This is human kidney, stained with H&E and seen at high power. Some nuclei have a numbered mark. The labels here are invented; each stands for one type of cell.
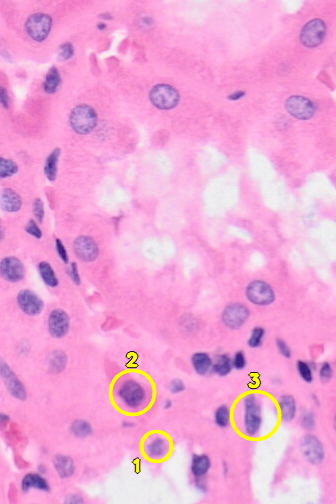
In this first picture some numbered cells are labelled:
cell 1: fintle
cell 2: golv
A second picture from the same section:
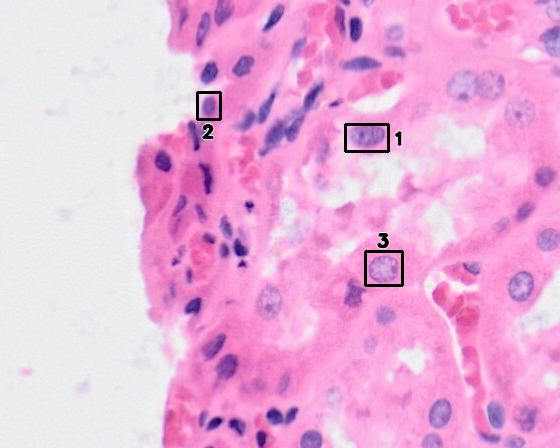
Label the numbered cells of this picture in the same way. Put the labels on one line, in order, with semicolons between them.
golv; fintle; golv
